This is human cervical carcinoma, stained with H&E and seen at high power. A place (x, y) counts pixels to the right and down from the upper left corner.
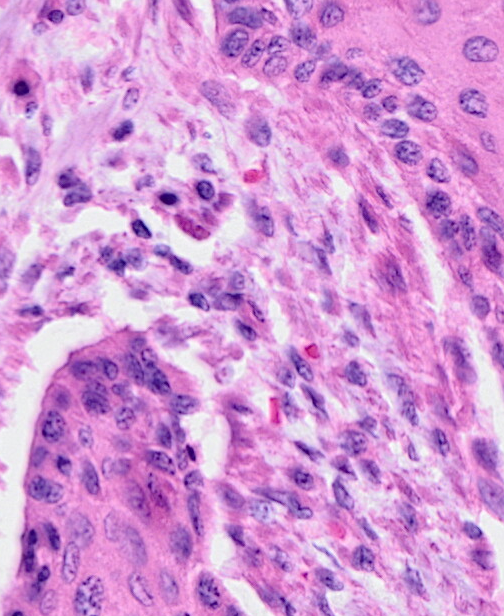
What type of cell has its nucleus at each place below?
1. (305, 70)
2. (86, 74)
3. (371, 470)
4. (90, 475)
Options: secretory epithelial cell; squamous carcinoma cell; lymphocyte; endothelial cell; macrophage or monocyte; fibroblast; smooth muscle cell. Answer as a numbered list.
1. squamous carcinoma cell
2. fibroblast
3. fibroblast
4. squamous carcinoma cell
